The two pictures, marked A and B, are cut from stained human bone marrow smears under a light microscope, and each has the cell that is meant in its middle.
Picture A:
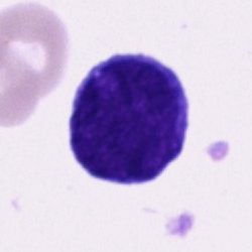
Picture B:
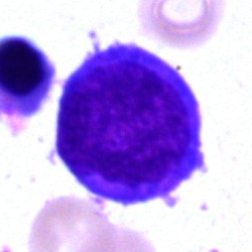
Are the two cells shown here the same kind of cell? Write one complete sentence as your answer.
Yes, both are blasts.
